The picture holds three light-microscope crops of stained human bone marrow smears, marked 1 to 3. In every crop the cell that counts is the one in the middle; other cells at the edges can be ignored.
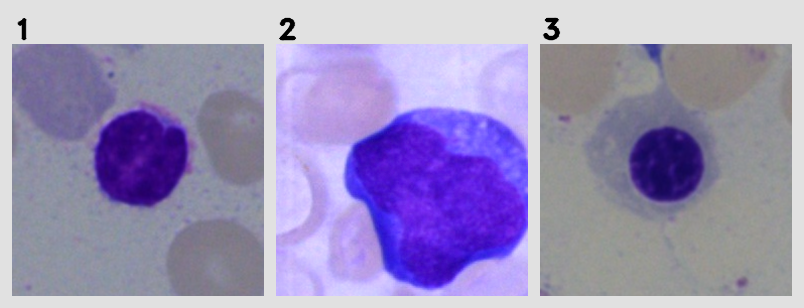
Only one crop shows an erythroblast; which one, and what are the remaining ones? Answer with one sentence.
Crop 3 is the one showing an erythroblast, whereas crop 1 is a lymphocyte and crop 2 is a blast.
